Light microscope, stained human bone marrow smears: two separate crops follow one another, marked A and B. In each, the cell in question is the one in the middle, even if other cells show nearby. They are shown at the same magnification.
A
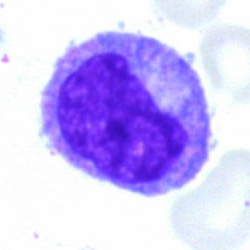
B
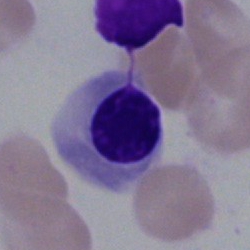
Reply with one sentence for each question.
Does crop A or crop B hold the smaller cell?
It is the cell in crop B; the cell in crop A has about 2 times its area.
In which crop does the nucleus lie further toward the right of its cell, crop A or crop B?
It is the nucleus in crop B that lies further toward the right of its cell.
